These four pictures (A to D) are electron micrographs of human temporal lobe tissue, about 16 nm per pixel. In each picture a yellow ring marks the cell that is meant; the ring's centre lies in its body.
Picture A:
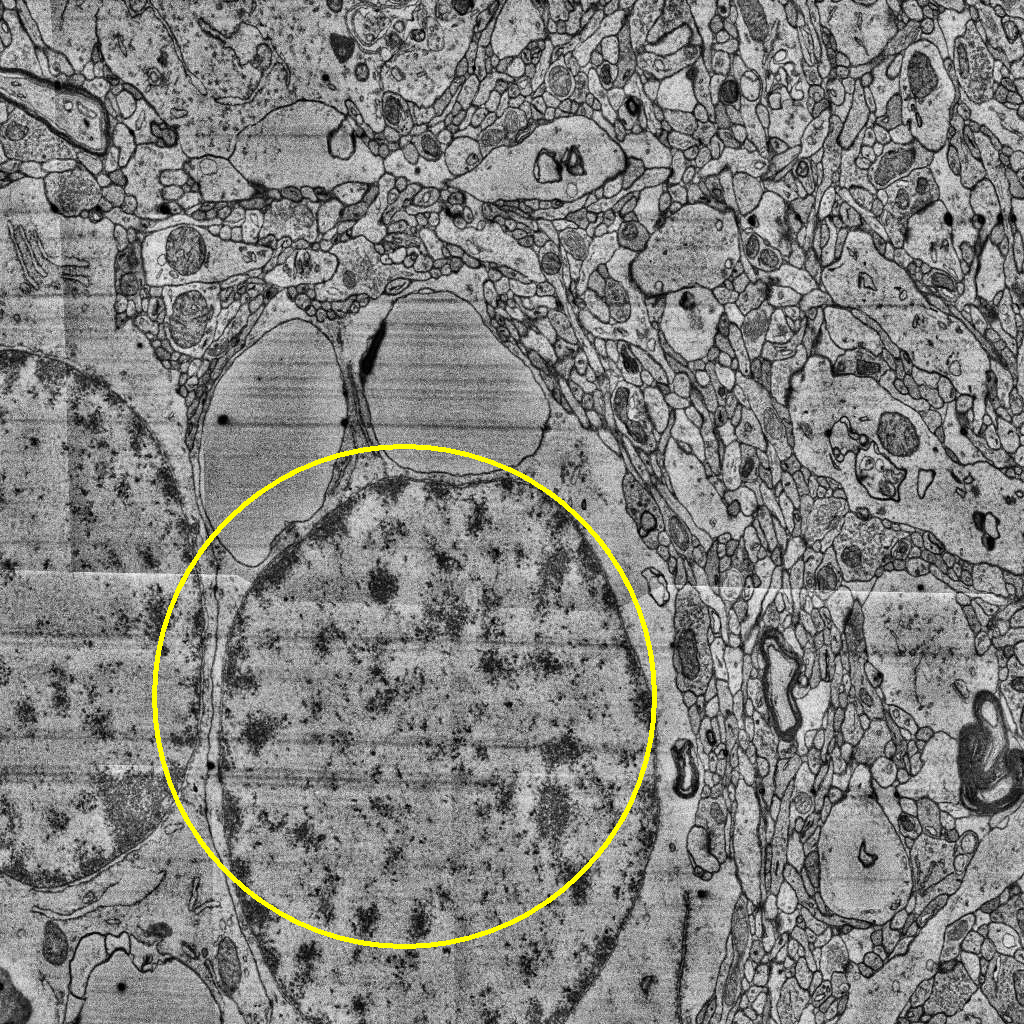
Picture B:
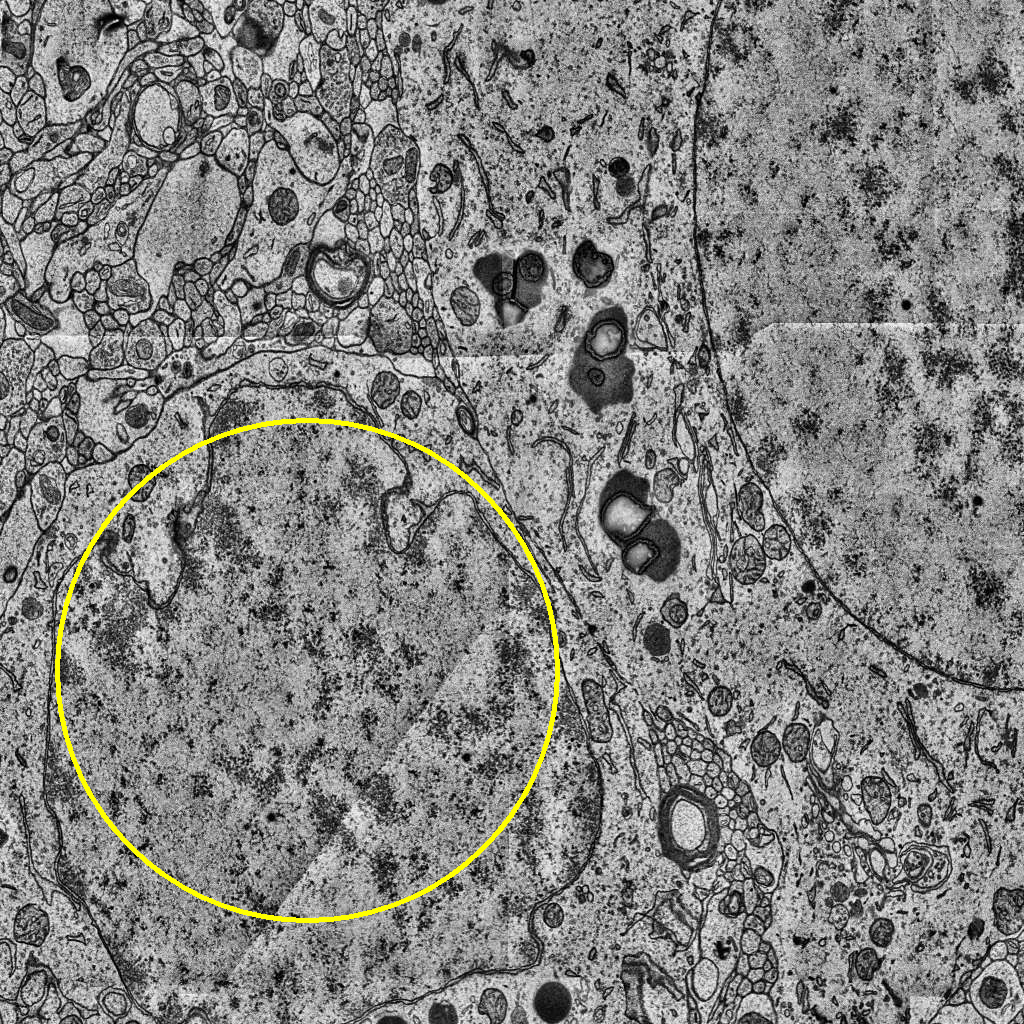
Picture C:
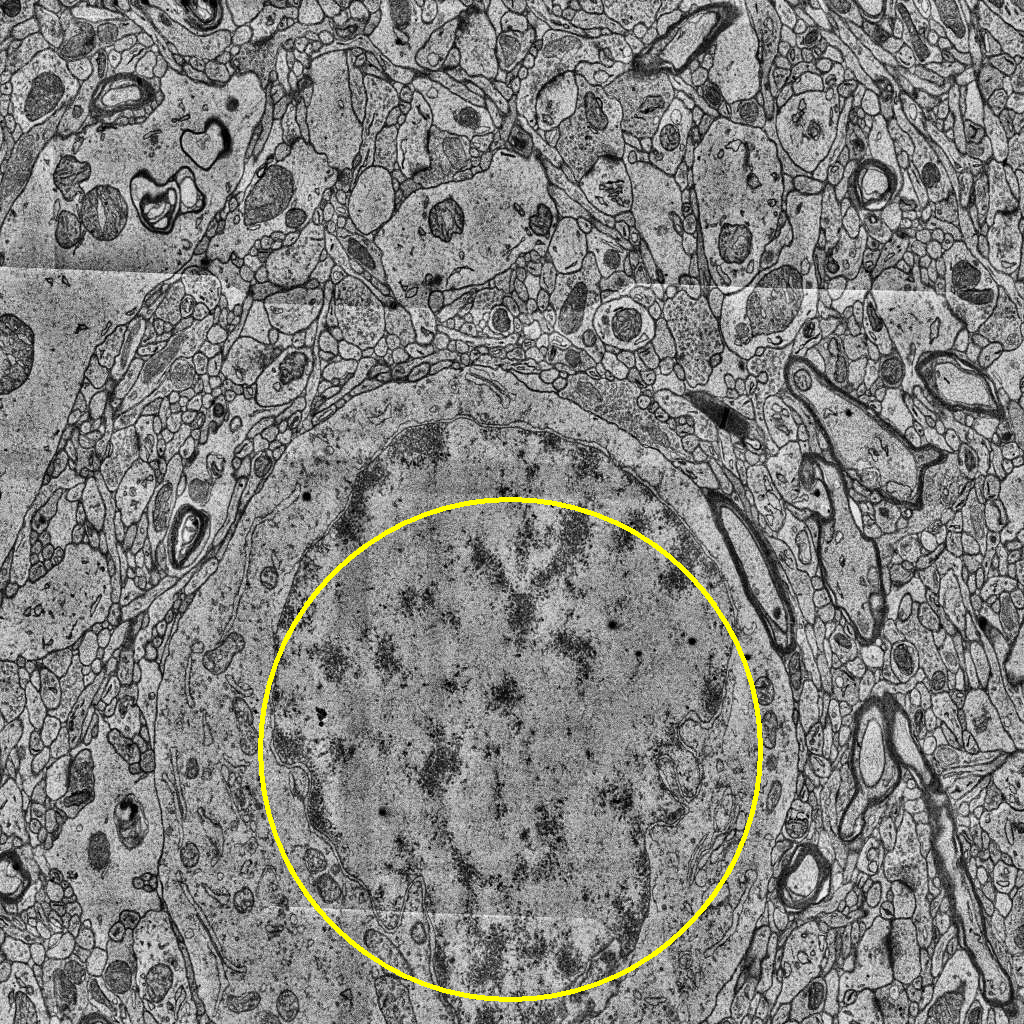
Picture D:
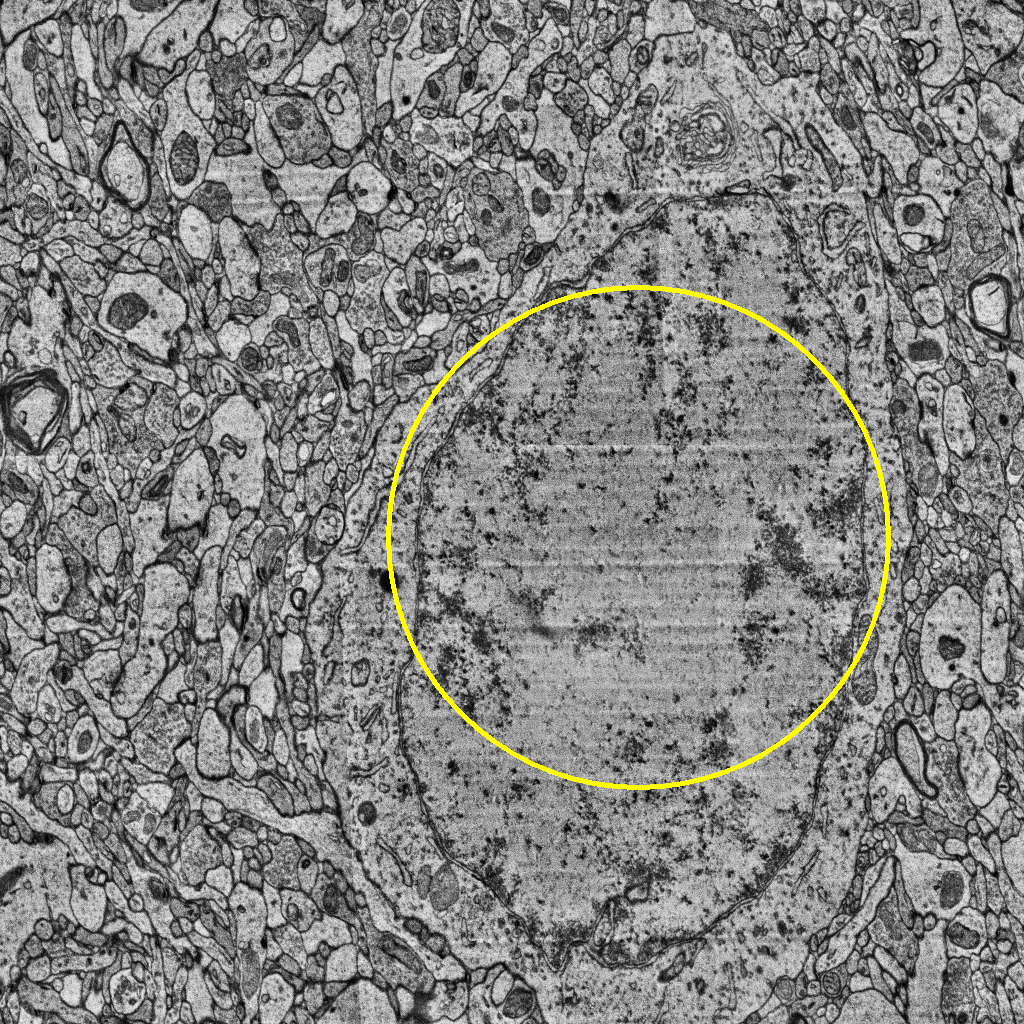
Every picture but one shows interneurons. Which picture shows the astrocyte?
The astrocyte is the one in picture A.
